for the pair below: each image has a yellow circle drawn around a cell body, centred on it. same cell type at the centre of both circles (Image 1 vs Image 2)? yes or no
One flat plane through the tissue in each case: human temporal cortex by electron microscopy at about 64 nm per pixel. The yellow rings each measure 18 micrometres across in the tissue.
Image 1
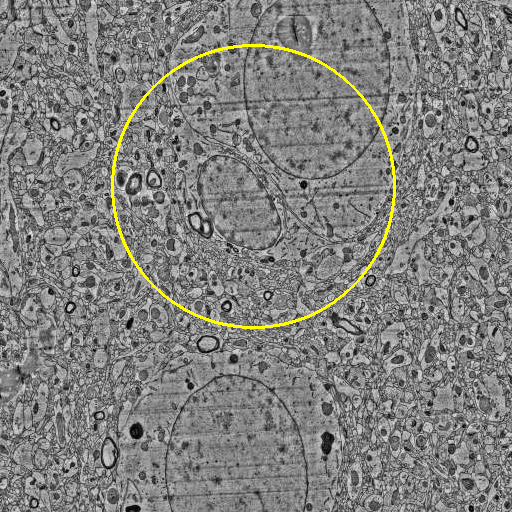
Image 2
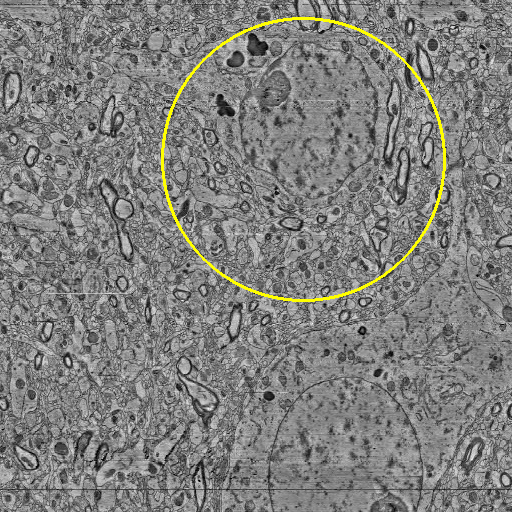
no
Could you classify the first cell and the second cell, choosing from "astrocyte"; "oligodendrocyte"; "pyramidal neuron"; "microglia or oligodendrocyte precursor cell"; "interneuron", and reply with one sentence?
The second cell is an interneuron, while the first is a microglial cell or oligodendrocyte precursor cell.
